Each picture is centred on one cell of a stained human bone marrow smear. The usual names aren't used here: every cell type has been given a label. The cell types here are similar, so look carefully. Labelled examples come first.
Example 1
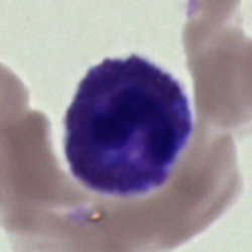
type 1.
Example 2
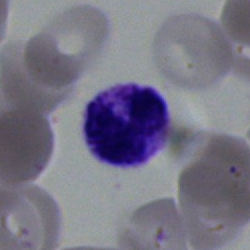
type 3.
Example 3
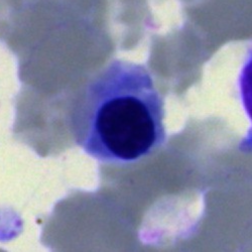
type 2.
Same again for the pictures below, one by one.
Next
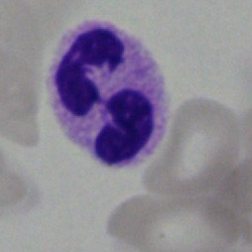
type 3.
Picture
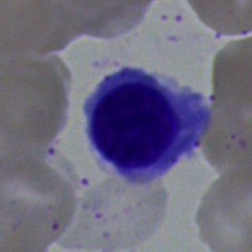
type 2.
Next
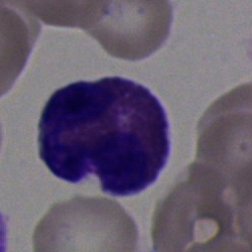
type 1.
